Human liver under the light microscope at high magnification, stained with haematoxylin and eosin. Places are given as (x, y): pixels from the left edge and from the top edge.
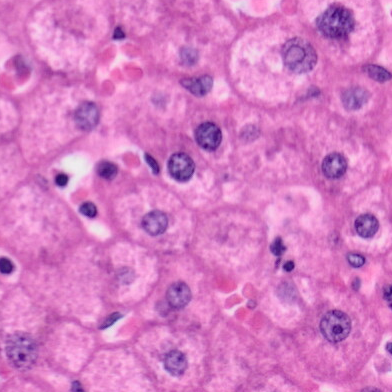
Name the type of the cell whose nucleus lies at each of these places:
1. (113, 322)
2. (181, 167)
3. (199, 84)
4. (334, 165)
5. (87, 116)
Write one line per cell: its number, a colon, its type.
1: endothelial cell
2: hepatocyte
3: Kupffer cell
4: hepatocyte
5: hepatocyte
